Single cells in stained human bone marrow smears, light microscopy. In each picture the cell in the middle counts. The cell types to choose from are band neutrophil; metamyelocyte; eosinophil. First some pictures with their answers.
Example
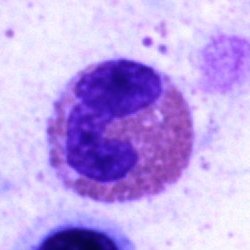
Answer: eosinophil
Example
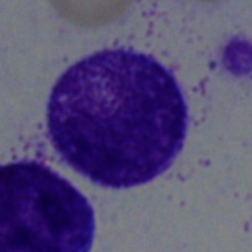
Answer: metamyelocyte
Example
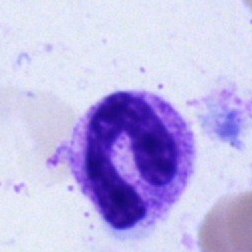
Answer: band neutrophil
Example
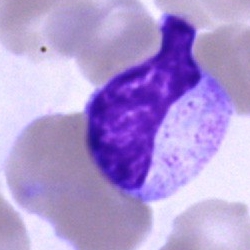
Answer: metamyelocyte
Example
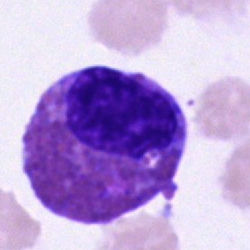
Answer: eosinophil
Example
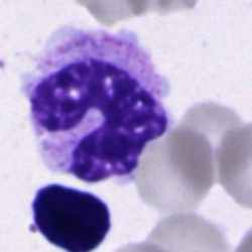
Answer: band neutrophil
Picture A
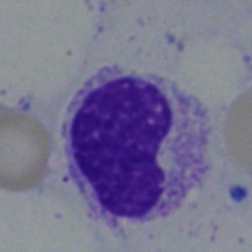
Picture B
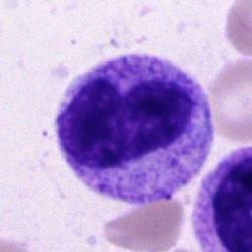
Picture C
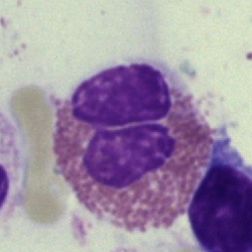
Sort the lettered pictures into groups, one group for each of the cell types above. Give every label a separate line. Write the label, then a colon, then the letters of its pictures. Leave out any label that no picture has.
metamyelocyte: A, B
eosinophil: C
